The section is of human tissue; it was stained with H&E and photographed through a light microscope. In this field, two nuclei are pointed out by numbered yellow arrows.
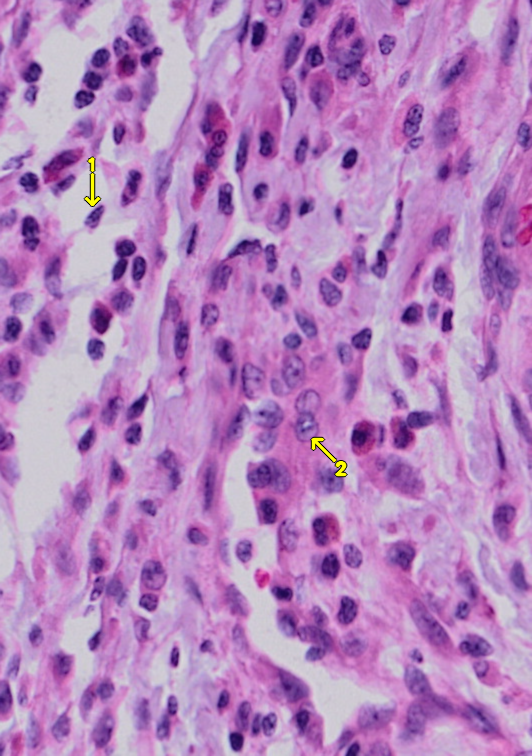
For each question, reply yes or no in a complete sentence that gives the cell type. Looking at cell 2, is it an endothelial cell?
Yes, the cell marked by the number 2 is an endothelial cell.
